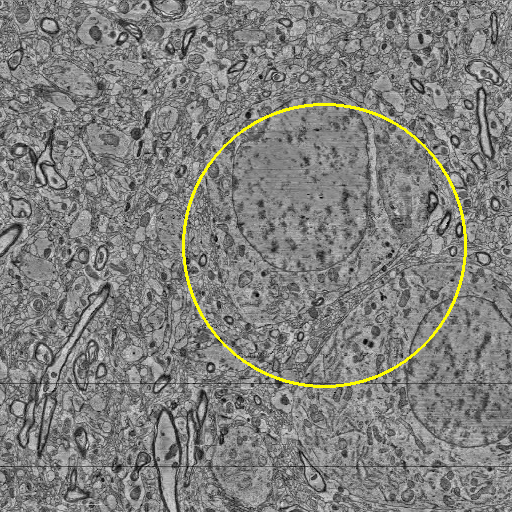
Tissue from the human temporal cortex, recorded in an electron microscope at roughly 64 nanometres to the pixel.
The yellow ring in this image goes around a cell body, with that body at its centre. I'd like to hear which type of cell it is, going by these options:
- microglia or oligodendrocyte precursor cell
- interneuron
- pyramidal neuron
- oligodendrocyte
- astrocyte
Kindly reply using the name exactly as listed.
pyramidal neuron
